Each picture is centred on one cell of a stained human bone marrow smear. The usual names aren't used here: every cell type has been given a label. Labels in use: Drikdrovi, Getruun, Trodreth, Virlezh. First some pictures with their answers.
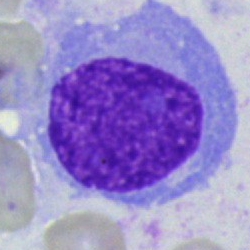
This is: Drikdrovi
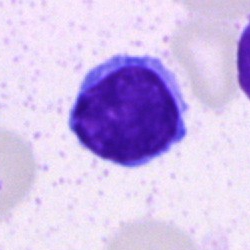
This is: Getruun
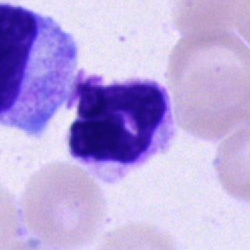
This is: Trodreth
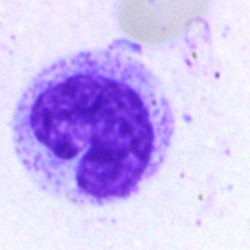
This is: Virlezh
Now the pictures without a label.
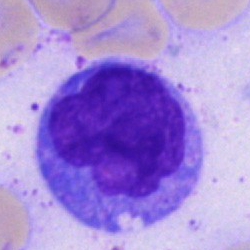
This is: Drikdrovi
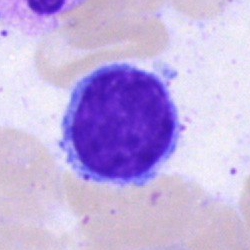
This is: Getruun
